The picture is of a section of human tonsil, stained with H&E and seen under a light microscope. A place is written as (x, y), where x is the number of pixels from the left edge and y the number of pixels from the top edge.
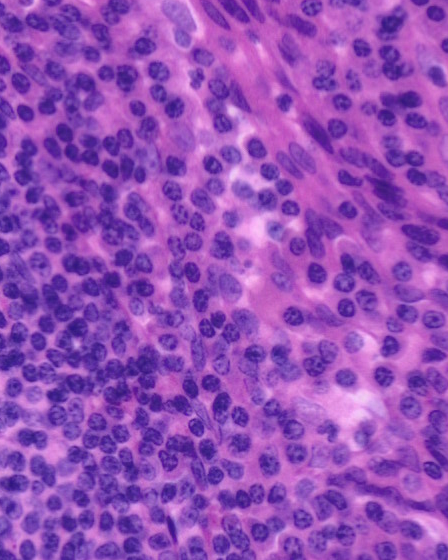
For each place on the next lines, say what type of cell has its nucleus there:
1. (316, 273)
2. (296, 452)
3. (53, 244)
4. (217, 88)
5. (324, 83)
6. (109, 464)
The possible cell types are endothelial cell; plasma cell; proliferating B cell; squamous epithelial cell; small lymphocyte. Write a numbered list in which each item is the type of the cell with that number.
1. plasma cell
2. plasma cell
3. small lymphocyte
4. plasma cell
5. plasma cell
6. small lymphocyte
